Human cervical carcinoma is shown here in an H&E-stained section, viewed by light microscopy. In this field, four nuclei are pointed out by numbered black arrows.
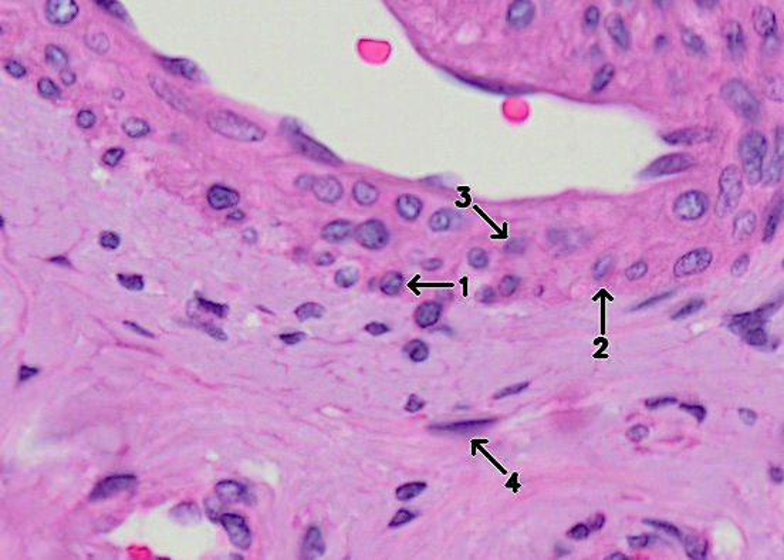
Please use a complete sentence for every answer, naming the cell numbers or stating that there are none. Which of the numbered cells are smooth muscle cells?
In terms of cell type, cells 1, 2 and 3 are smooth muscle cells.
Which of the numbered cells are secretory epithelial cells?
The correct answer is that none of the numbered cells are secretory epithelial cells.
